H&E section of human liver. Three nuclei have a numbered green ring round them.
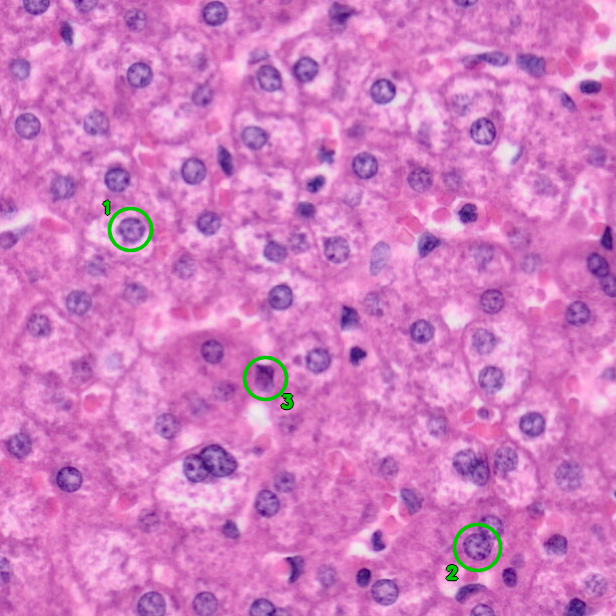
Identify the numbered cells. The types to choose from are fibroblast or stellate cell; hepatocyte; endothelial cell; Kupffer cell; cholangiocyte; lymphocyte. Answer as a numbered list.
1. hepatocyte
2. hepatocyte
3. endothelial cell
